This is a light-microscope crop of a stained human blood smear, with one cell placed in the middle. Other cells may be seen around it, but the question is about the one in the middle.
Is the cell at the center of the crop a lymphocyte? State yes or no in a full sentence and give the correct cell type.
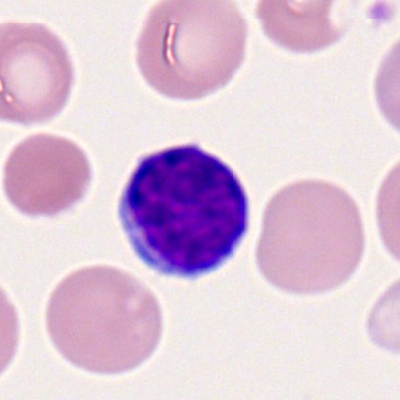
Yes, the crop's central cell is a lymphocyte.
